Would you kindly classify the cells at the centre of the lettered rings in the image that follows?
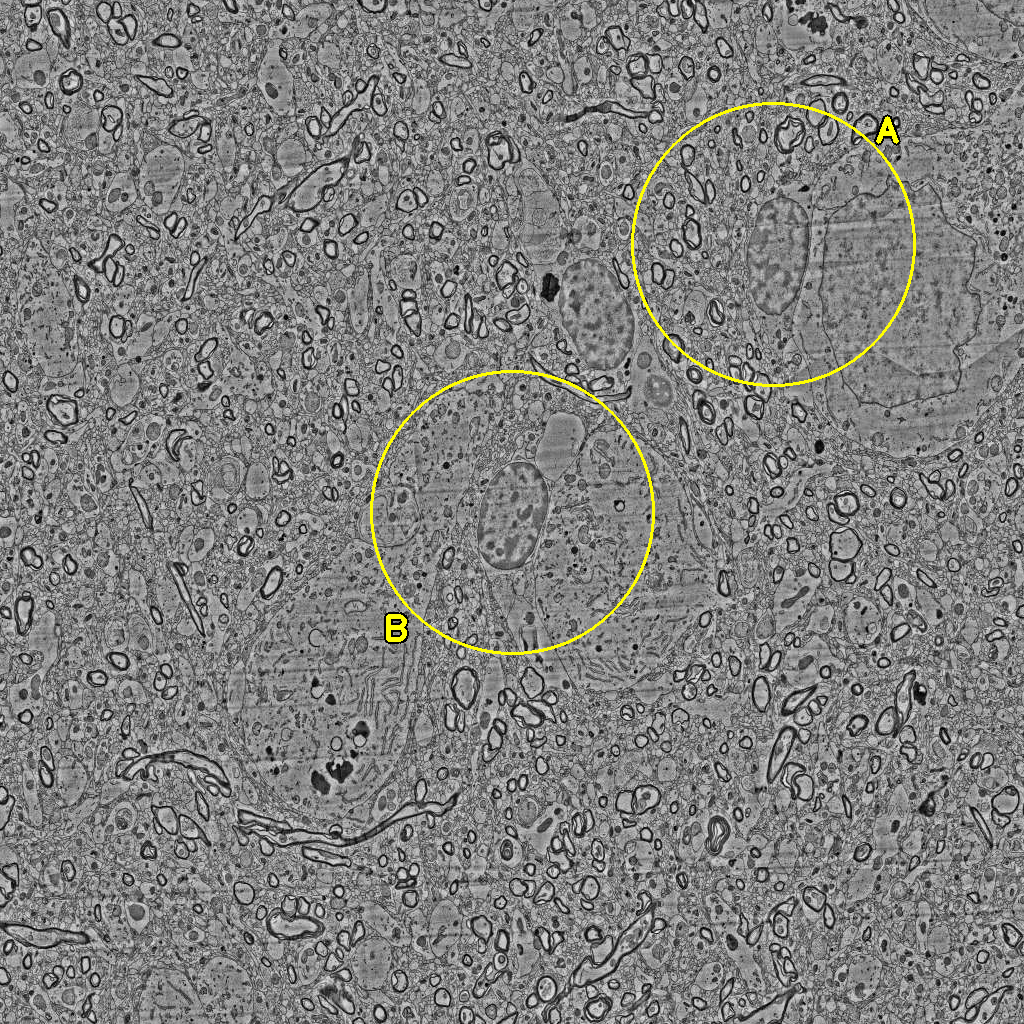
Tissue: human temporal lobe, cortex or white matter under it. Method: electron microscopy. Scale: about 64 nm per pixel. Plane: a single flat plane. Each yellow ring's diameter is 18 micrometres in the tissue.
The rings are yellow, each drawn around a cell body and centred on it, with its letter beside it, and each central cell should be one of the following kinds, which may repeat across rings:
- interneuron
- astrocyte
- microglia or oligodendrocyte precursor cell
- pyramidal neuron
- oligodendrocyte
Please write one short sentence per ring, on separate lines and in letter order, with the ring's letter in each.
The kind of cell at the centre of ring A is an oligodendrocyte.
The kind of cell at the centre of ring B is a microglial cell or oligodendrocyte precursor cell.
